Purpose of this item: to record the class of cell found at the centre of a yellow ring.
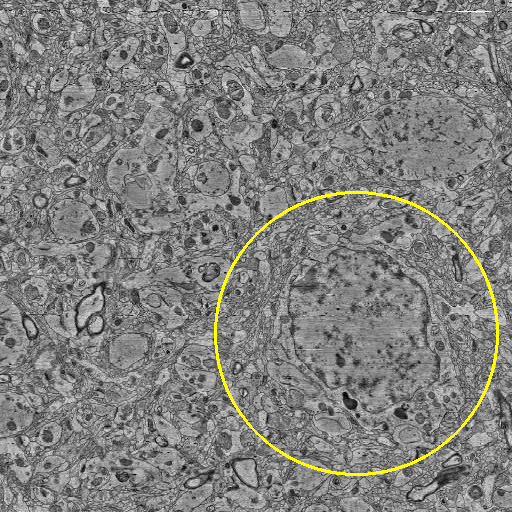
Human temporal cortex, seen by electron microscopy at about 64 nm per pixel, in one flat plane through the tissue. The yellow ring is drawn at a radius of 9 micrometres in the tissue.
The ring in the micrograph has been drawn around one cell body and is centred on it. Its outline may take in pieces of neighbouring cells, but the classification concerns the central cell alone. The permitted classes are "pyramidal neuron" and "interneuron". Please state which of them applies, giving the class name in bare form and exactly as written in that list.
interneuron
